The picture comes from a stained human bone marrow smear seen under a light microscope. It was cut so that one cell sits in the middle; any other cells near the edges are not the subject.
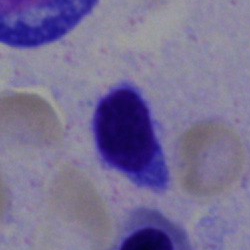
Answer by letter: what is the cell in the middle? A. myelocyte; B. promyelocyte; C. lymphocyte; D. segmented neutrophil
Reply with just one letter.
C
